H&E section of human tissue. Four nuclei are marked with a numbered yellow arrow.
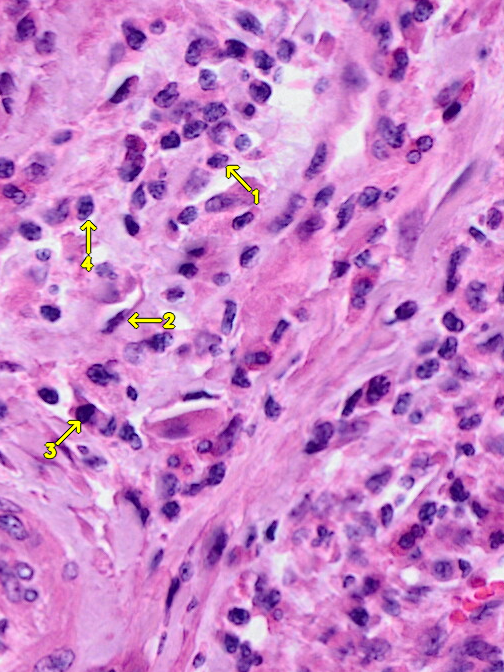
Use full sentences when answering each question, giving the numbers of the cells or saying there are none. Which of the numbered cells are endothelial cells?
Only one choice fits: cell 2 is an endothelial cell, and no other.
